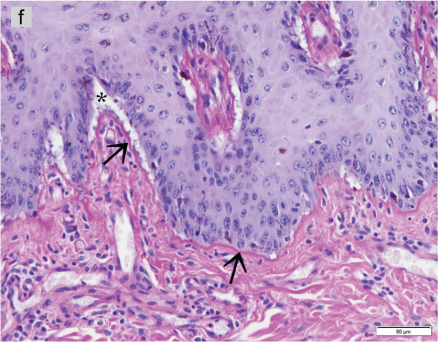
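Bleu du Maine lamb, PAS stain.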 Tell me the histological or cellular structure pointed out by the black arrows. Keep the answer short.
basal membrane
